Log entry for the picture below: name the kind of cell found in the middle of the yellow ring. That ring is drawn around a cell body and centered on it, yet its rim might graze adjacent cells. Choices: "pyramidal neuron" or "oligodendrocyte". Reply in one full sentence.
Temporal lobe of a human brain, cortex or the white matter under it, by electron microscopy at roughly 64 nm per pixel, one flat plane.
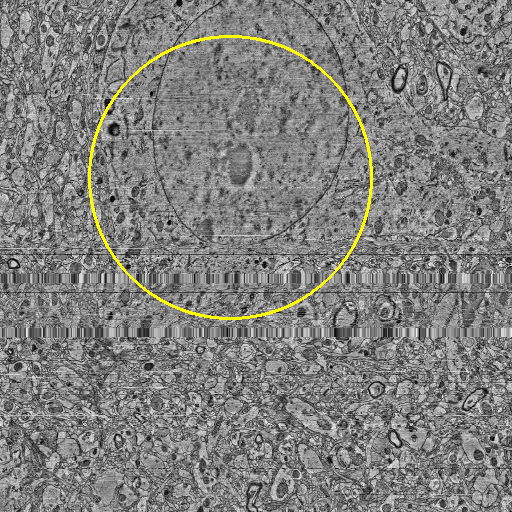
The cell in the middle of the yellow ring in this picture is a pyramidal neuron.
